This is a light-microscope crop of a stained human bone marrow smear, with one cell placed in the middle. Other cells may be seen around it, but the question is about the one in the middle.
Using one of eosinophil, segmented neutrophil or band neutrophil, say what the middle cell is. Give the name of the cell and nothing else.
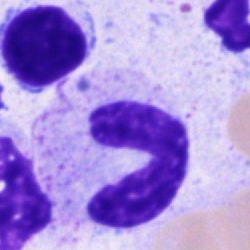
band neutrophil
